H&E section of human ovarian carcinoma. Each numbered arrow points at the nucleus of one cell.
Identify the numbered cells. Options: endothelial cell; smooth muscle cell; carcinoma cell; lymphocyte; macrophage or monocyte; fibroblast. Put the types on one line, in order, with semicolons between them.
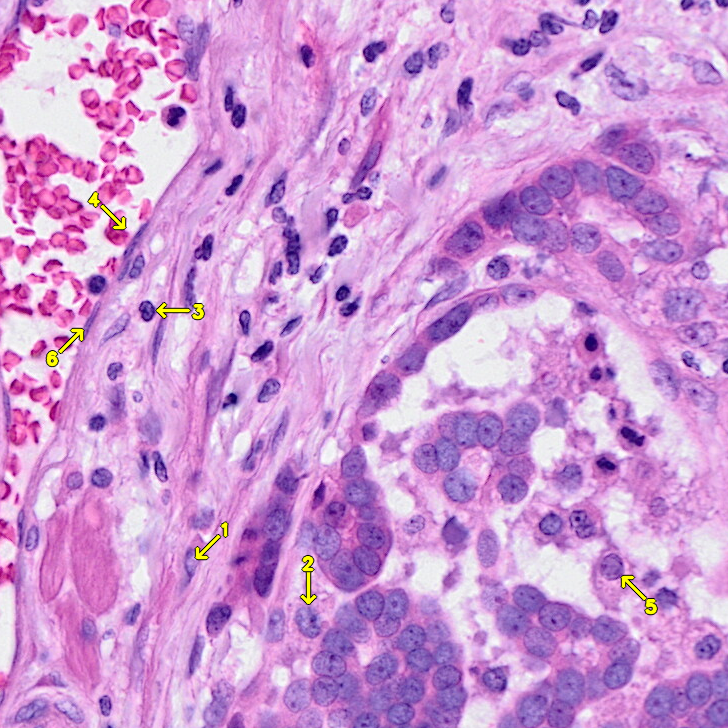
fibroblast; macrophage or monocyte; lymphocyte; endothelial cell; macrophage or monocyte; endothelial cell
